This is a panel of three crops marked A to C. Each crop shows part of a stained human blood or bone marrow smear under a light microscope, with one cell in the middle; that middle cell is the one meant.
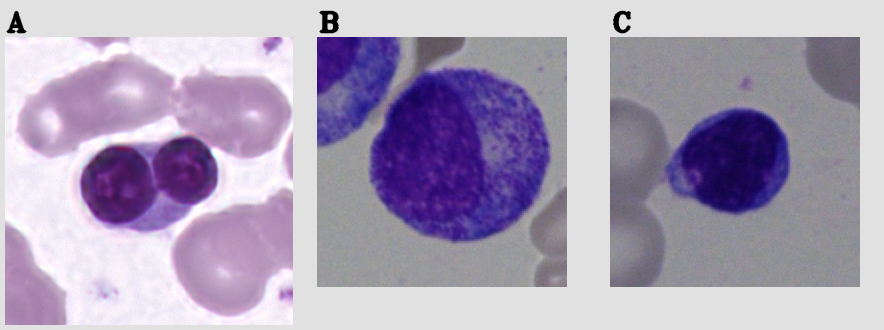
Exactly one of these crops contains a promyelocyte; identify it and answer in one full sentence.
Crop B matches the request, showing a promyelocyte.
